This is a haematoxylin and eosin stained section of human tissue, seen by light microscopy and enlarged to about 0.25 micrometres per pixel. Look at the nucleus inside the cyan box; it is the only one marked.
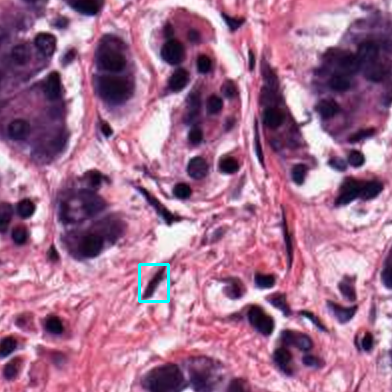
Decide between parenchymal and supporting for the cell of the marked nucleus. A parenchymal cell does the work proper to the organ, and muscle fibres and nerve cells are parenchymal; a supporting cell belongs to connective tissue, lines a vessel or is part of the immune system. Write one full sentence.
That the marked nucleus belongs to a supporting cell is what the section shows.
